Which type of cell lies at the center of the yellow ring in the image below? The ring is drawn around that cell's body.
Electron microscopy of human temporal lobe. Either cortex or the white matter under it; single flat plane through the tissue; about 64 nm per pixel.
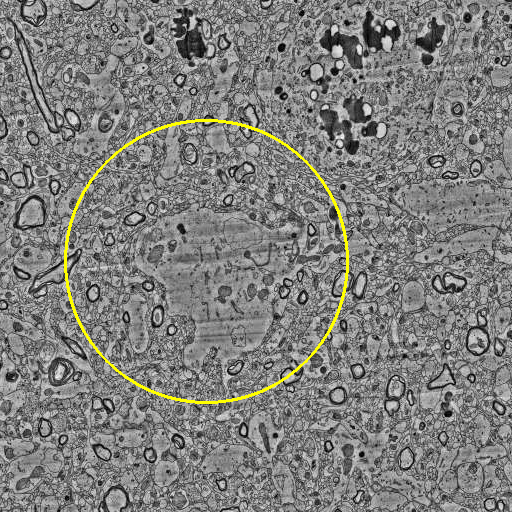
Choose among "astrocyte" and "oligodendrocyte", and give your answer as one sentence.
The cell body at the center belongs to an astrocyte.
